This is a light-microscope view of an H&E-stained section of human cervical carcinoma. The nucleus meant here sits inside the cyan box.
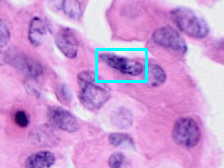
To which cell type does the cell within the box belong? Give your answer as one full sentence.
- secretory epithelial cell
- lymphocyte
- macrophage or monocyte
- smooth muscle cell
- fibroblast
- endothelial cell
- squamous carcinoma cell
The cell within the box appears to be a squamous carcinoma cell.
